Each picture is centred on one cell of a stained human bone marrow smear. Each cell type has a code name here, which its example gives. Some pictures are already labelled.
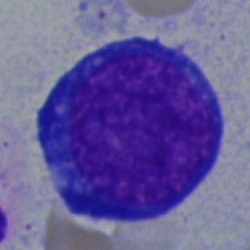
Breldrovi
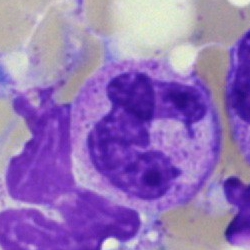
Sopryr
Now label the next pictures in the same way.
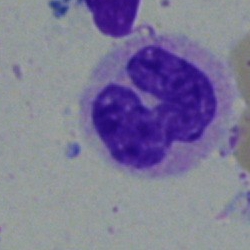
Sopryr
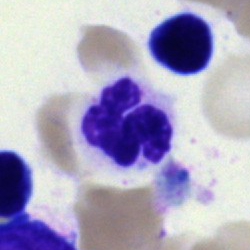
Sopryr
